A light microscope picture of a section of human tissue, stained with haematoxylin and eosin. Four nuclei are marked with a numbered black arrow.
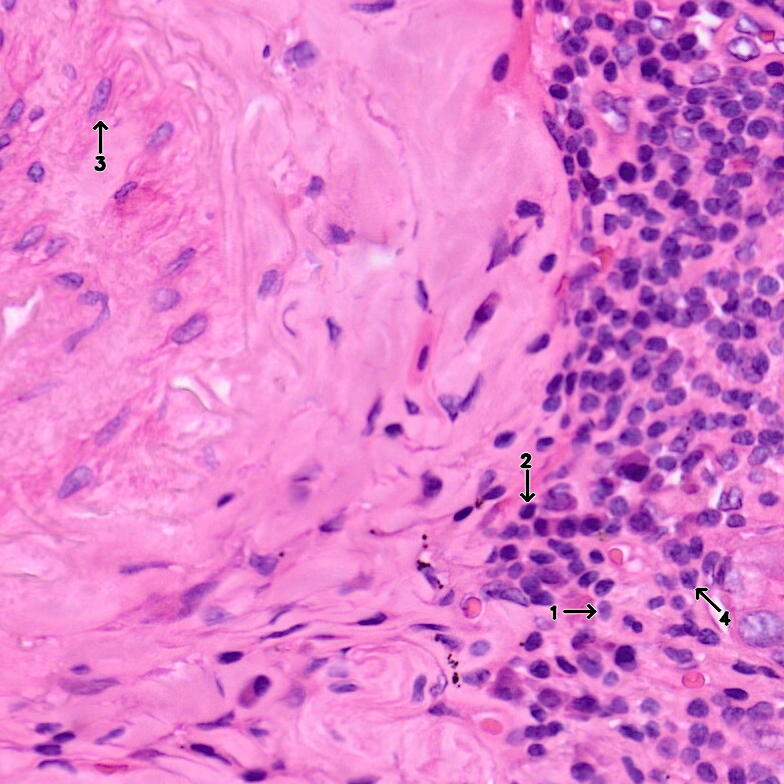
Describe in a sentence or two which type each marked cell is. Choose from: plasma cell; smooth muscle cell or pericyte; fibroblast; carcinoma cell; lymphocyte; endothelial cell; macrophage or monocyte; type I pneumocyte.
Cell 1 is a lymphocyte, cell 2 is a lymphocyte, cell 3 is a smooth muscle cell or pericyte and cell 4 is a lymphocyte.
